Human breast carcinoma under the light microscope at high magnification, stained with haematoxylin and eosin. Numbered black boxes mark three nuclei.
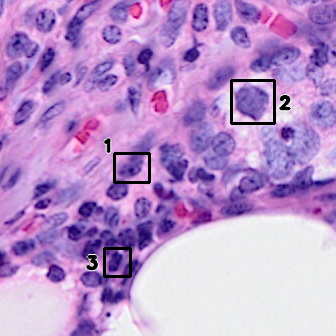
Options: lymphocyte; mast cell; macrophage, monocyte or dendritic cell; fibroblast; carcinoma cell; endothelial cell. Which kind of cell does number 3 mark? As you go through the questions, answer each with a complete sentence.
Looking at the numbered marks, cell 3 is a lymphocyte.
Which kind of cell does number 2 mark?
Cell 2 in the field of view is a carcinoma cell.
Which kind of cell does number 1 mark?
Identified as a lymphocyte is the cell bearing the number 1.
